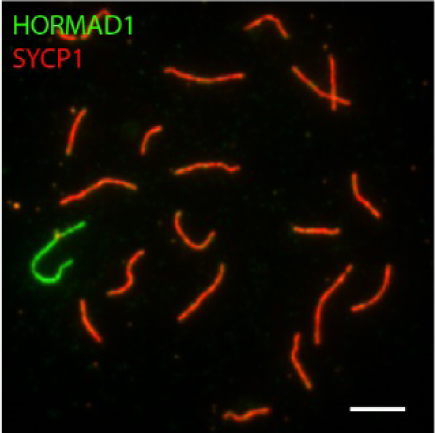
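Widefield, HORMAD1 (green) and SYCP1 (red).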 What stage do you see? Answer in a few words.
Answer: Pachytene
